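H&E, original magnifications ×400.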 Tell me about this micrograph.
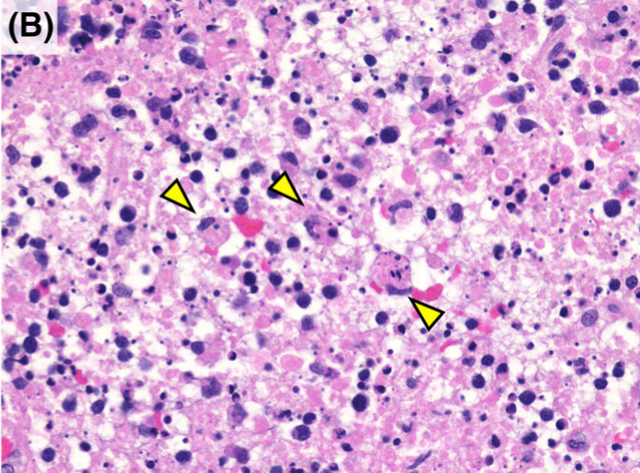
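This is a necrotizing lesion of lymphoid tissue containing scattered large lymphocytes and histiocytes with curved, crescent-shaped nuclei. The cells lie loosely in a background of pale pink, granular debris. Numerous small, dense, dark purple nuclear fragments are scattered throughout the field.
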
